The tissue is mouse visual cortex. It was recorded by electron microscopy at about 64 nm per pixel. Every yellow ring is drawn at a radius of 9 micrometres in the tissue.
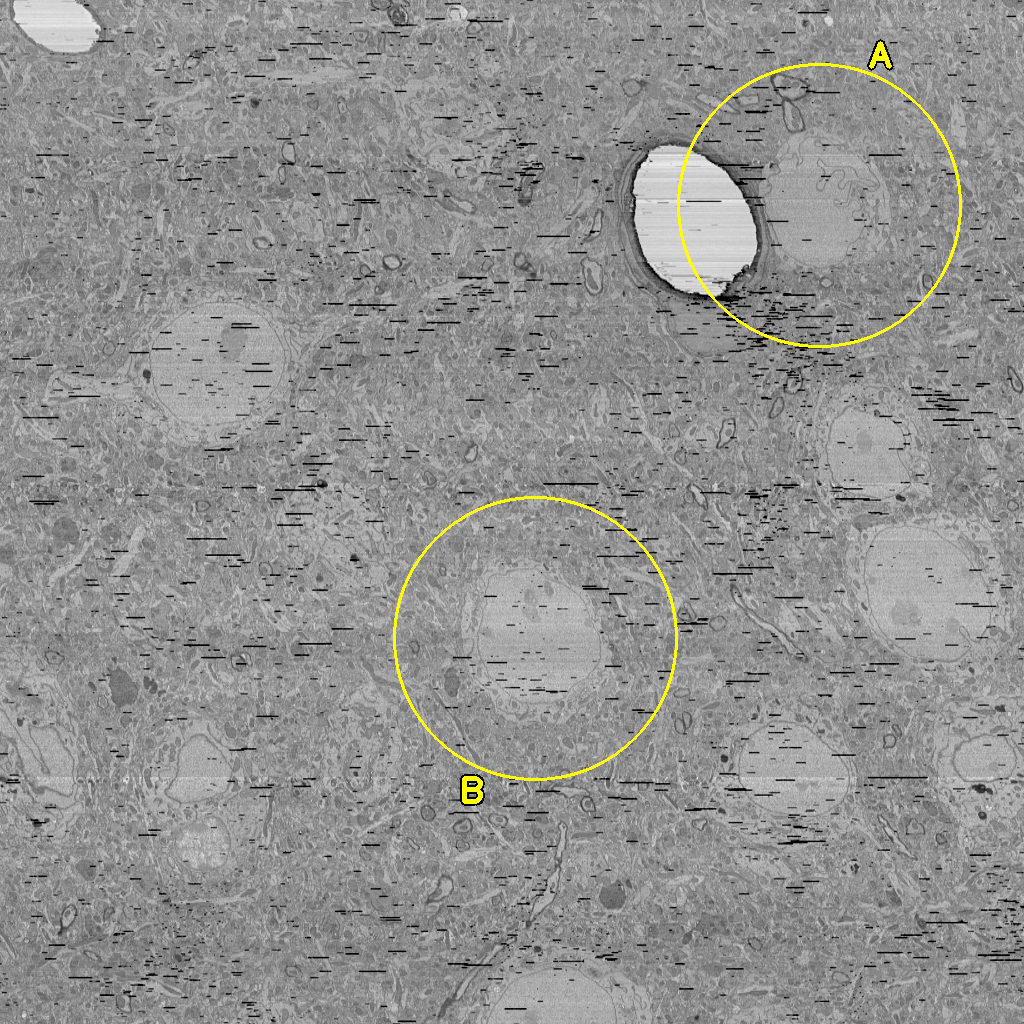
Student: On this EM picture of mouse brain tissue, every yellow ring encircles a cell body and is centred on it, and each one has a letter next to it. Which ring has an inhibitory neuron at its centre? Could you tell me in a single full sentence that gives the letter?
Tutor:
Ring A is the one drawn around the cell you are asking about.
